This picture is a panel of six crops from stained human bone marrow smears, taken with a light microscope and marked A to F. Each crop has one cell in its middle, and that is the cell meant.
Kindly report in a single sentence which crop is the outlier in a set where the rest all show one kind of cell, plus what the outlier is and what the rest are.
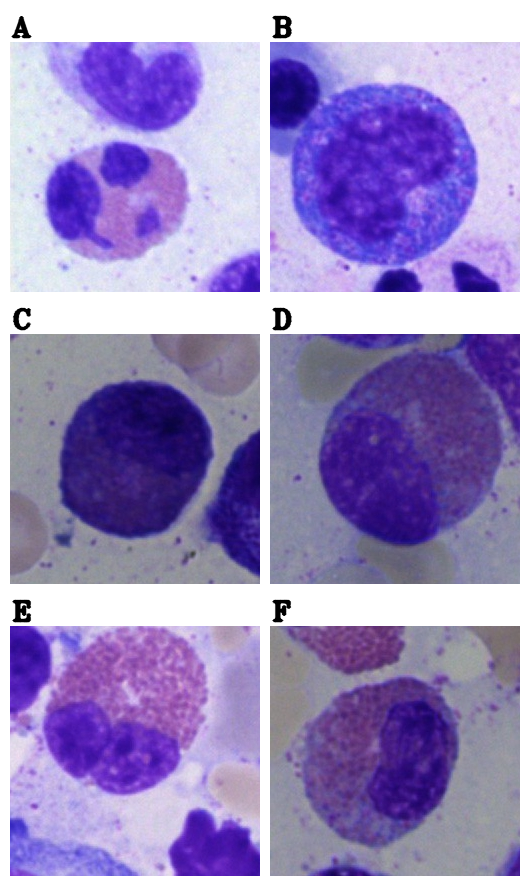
Crop B alone shows a promyelocyte; the other crops are all eosinophils.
